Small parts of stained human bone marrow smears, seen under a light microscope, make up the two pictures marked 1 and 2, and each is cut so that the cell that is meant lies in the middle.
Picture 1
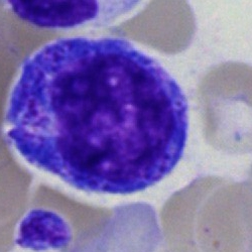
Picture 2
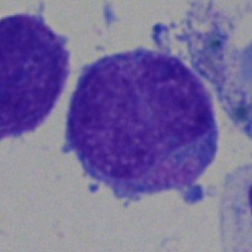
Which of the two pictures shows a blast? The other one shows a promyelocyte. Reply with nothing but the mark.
2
